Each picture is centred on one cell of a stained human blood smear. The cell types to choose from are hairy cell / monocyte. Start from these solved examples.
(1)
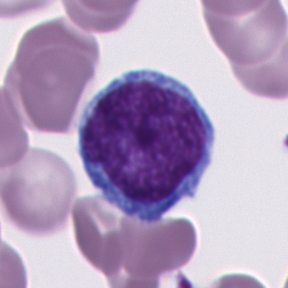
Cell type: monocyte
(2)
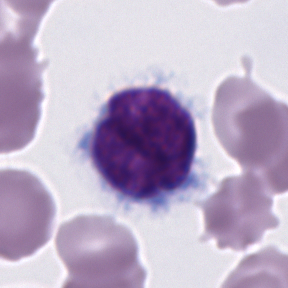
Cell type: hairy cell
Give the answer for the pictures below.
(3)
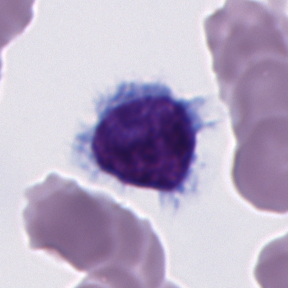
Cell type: hairy cell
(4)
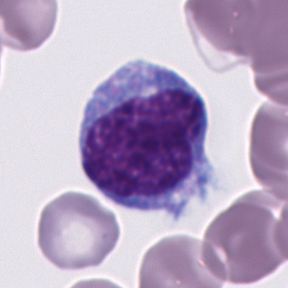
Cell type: monocyte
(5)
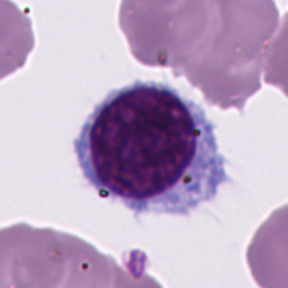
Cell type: hairy cell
